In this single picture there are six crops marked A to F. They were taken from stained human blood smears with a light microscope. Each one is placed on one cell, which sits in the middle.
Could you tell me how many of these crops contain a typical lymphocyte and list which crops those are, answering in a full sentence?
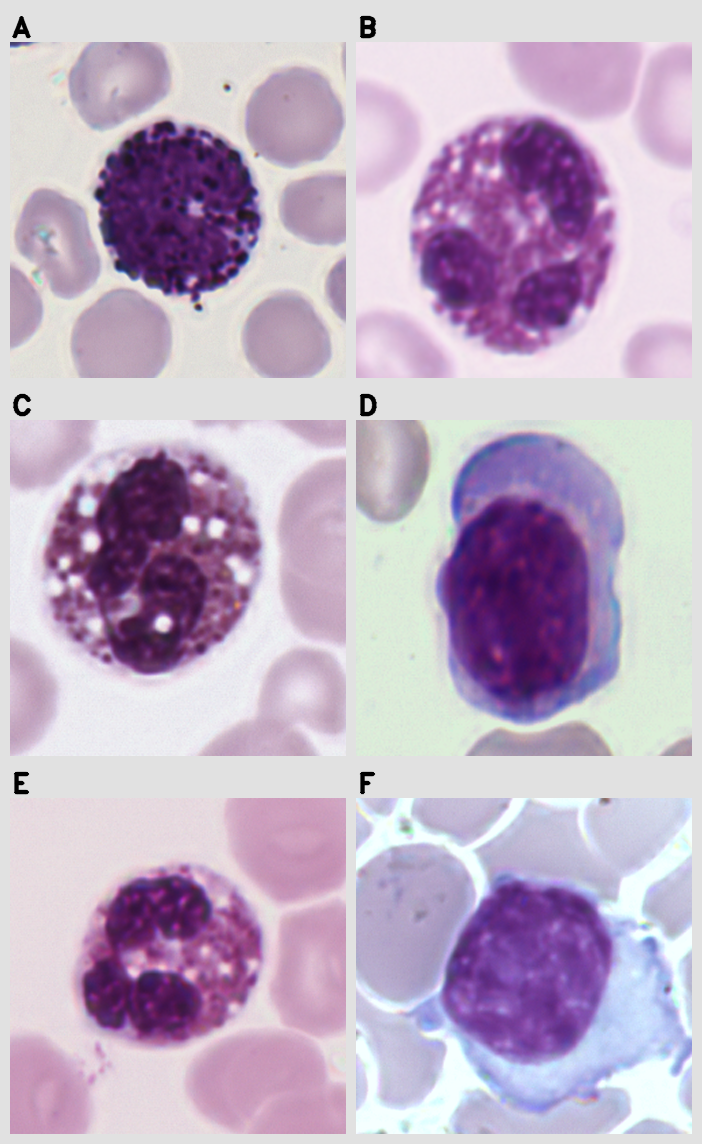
In no crop are typical lymphocytes seen, and so their count is zero.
